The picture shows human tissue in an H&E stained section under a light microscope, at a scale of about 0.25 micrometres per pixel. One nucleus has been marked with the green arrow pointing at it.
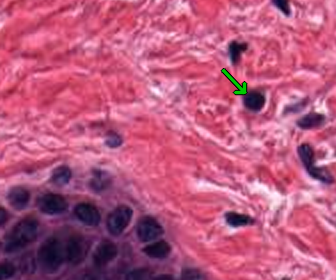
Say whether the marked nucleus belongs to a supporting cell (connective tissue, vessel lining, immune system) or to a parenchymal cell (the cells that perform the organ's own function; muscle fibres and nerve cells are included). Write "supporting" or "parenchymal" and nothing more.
supporting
